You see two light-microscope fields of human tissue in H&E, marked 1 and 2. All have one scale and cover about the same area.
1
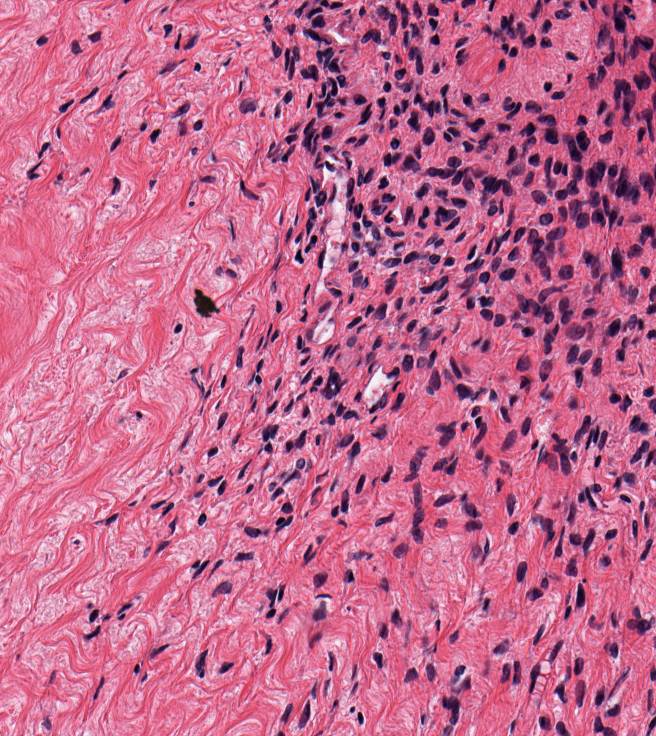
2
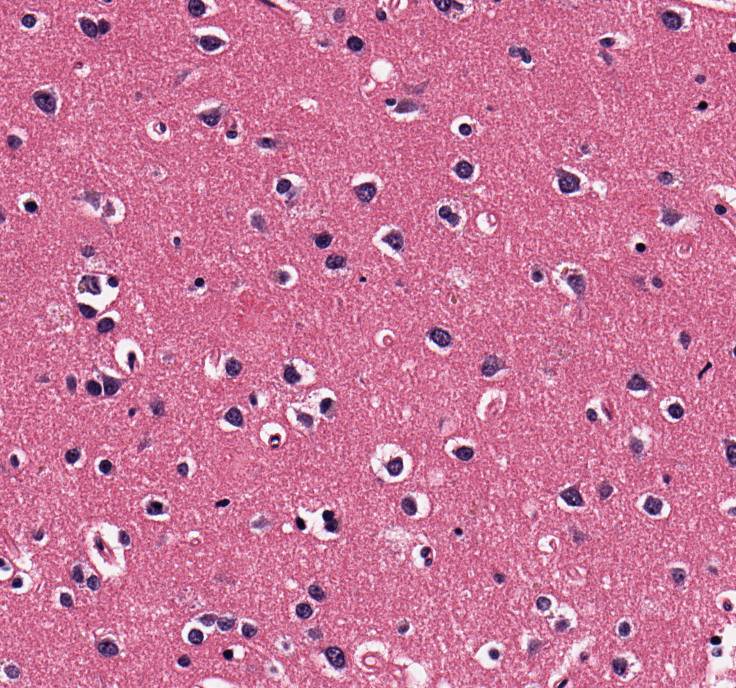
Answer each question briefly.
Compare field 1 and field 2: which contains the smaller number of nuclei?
2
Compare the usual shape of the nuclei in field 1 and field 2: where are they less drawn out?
2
